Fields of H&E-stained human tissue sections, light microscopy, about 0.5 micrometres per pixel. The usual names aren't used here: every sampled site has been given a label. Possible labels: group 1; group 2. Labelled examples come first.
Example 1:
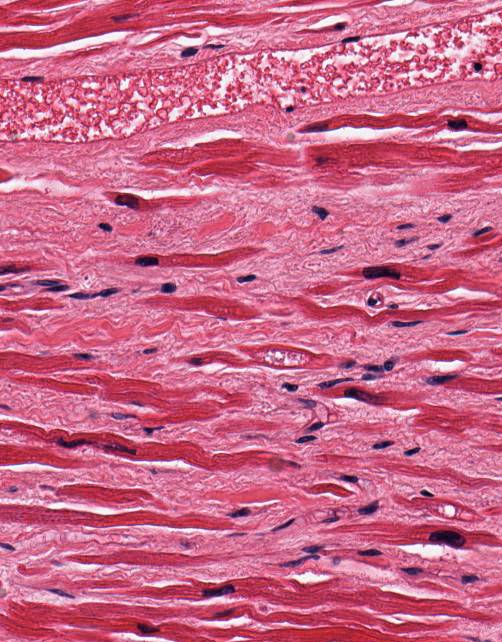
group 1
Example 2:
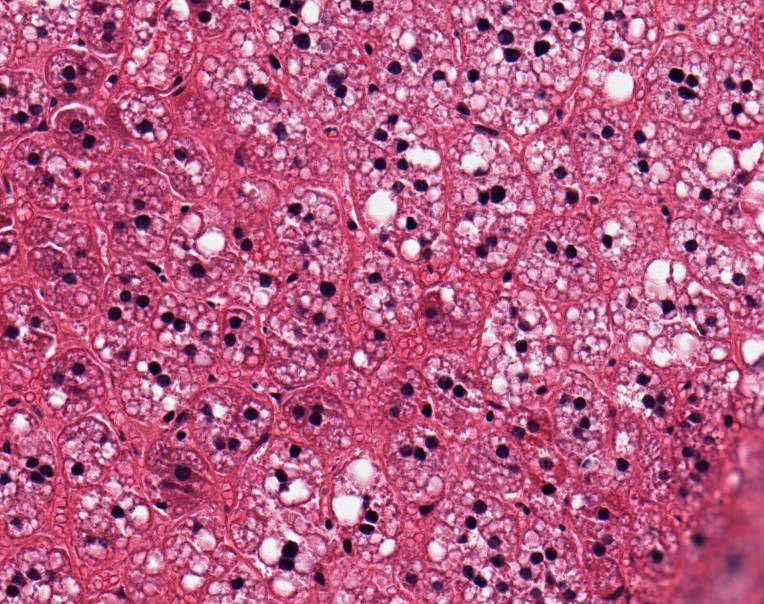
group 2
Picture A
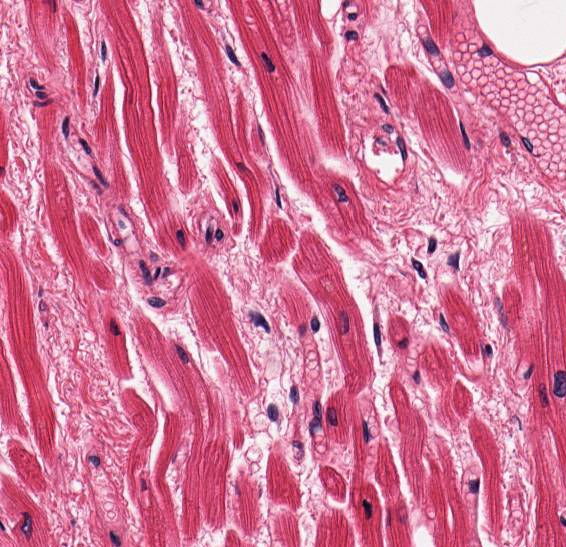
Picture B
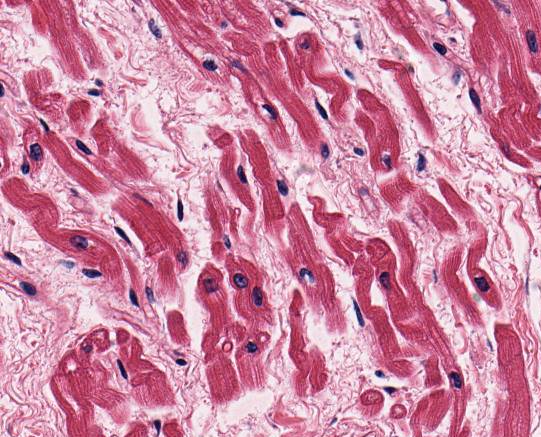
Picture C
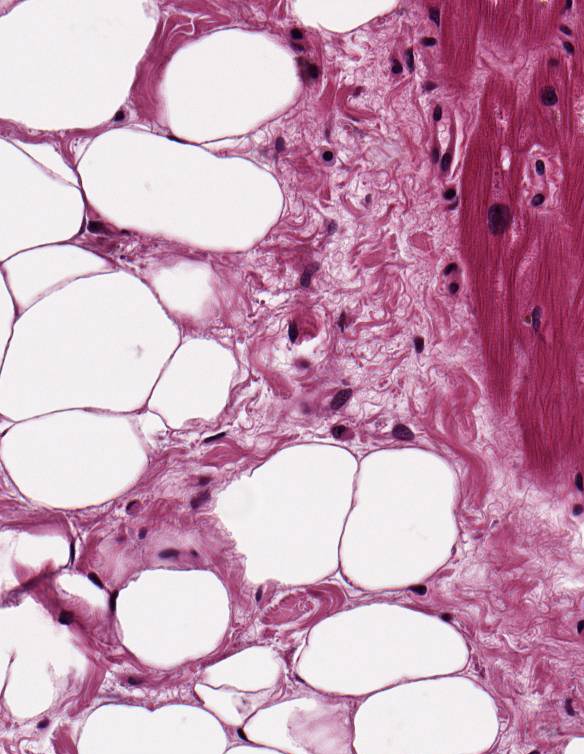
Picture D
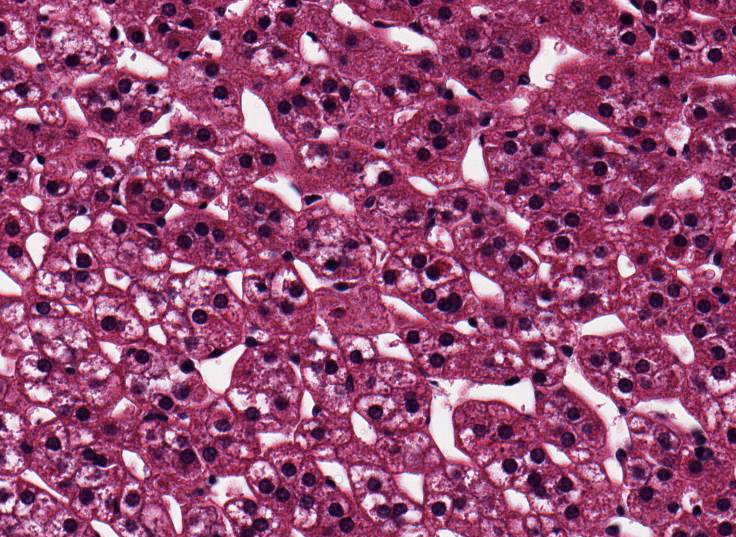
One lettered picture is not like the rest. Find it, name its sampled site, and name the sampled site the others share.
Odd one out: D (group 2). The rest: group 1.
